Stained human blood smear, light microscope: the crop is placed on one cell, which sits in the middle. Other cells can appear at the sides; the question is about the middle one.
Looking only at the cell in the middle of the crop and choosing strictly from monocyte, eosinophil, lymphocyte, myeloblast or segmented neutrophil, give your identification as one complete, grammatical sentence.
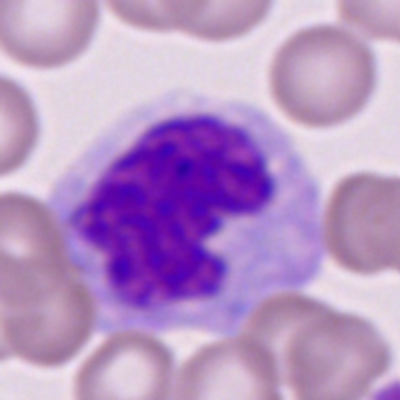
This particular crop is centered on a monocyte.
